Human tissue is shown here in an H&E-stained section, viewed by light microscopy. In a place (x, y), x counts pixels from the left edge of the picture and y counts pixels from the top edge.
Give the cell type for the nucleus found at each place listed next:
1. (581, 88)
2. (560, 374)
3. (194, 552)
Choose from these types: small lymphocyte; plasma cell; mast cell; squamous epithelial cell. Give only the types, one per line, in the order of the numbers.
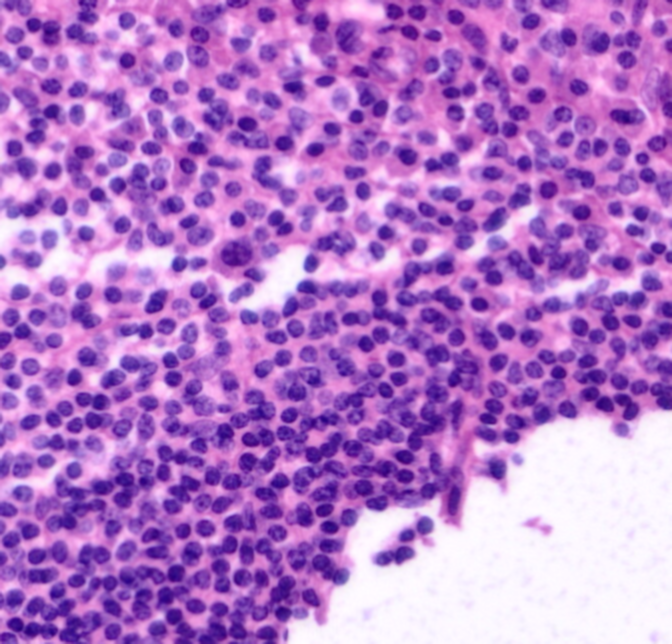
plasma cell
small lymphocyte
small lymphocyte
